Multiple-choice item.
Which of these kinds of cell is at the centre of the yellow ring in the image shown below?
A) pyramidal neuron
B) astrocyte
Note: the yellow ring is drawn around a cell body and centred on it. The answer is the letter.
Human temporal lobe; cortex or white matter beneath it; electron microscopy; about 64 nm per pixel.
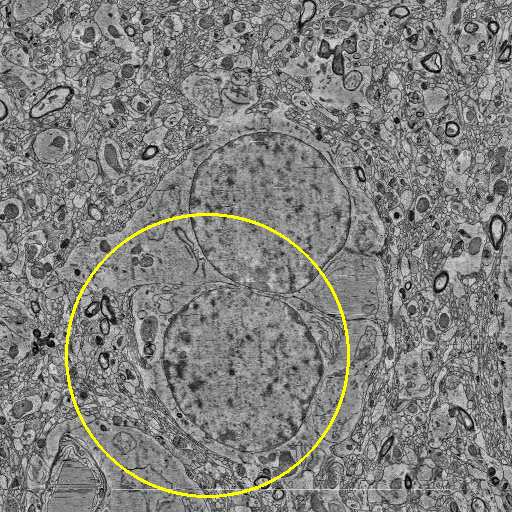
B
